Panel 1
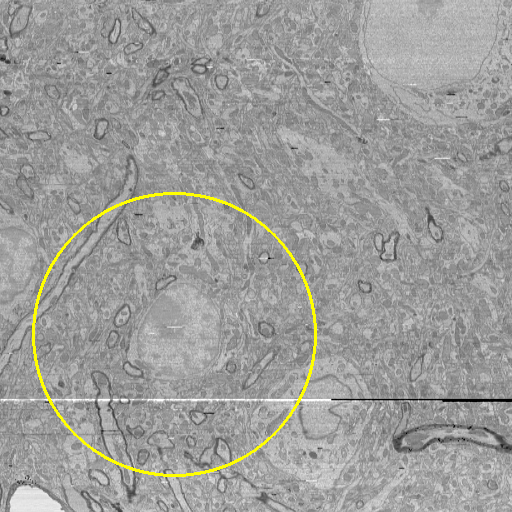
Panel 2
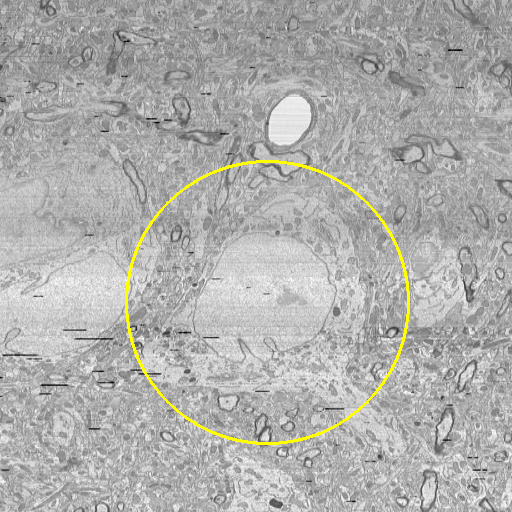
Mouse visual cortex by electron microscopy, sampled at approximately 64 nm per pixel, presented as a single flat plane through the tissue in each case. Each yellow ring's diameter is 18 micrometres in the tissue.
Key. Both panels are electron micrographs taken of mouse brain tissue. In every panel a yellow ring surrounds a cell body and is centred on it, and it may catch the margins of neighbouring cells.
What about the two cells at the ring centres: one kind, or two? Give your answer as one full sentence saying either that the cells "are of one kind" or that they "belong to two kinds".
Across Panels 1 and 2, the two cells at the ring centres belong to two kinds.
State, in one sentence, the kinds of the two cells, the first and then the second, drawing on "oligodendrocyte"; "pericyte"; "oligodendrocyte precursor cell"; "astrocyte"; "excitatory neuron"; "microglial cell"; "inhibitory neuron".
The ring in the second picture is centred on an excitatory neuron, the ring in the first on an oligodendrocyte.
